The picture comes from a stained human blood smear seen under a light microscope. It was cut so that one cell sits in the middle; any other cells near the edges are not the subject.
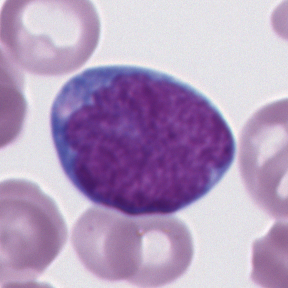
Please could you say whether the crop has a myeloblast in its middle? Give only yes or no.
yes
